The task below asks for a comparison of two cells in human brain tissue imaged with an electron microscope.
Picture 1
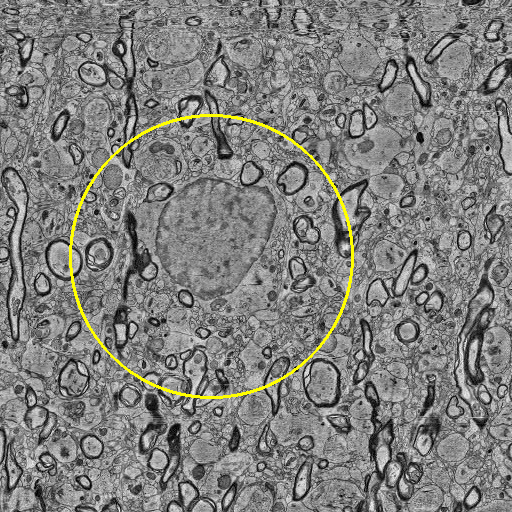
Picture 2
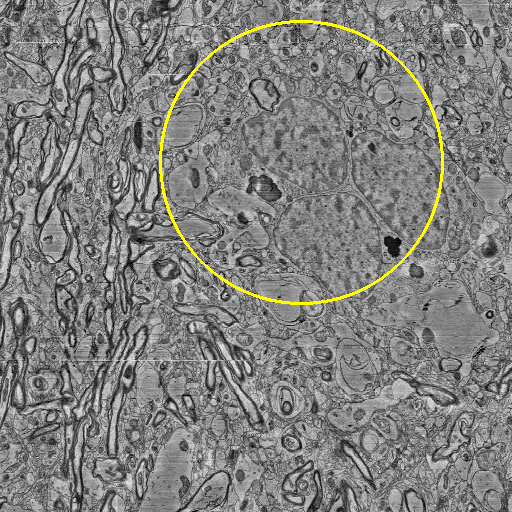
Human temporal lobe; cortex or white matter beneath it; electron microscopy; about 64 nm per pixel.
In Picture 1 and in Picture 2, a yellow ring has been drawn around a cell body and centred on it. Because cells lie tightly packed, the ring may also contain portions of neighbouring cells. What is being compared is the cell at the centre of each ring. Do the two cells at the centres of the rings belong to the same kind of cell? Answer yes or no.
yes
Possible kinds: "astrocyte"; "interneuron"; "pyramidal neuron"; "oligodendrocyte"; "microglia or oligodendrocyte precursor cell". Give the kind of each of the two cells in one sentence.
Each of the two rings is centred on an oligodendrocyte.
